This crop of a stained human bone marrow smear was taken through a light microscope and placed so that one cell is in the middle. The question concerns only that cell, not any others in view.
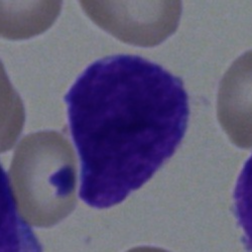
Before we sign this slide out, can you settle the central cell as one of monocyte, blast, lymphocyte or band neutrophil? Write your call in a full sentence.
Classification of the middle cell gives a blast.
